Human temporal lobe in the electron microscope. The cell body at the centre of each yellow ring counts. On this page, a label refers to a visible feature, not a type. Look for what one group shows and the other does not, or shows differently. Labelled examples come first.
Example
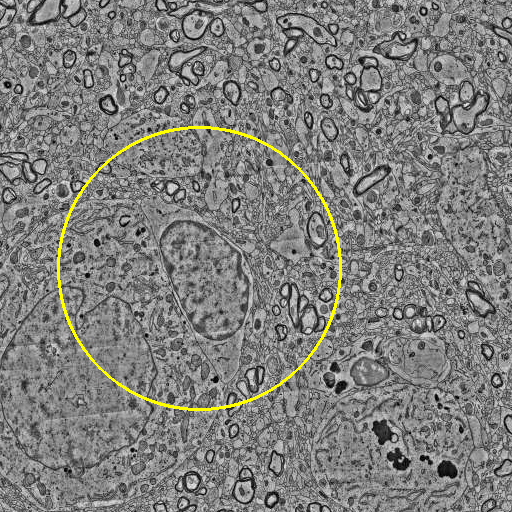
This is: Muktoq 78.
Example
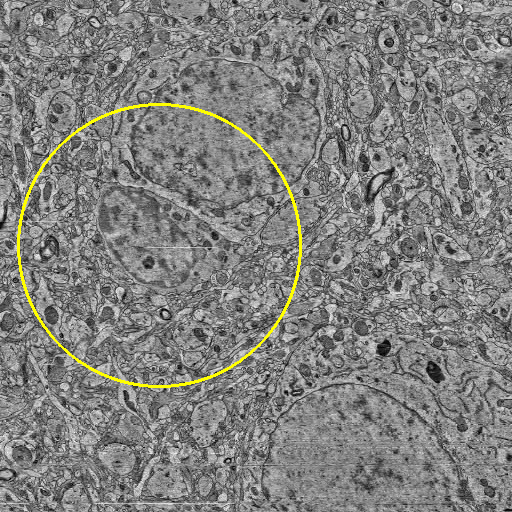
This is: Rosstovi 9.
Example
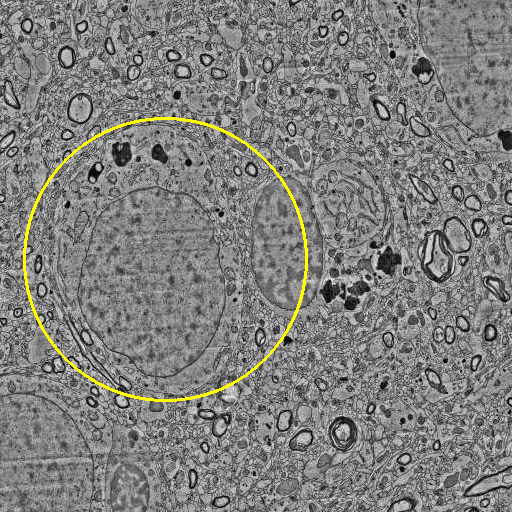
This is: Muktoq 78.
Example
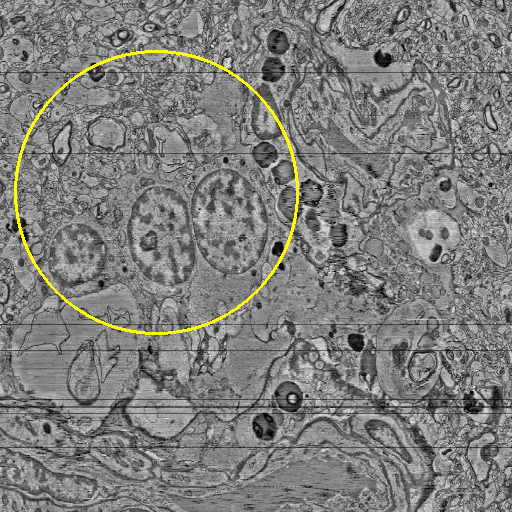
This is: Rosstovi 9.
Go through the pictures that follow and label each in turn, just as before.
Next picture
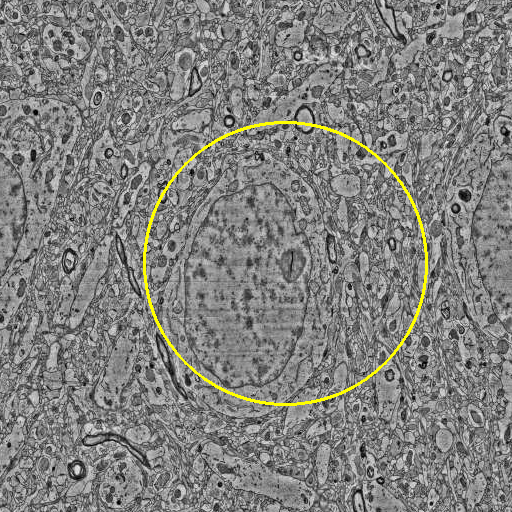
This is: Rosstovi 9.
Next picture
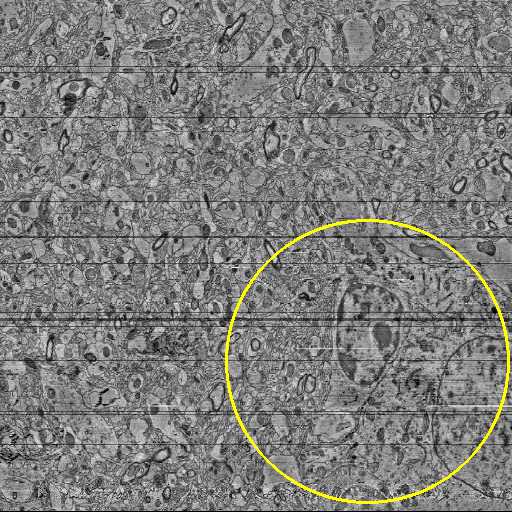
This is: Rosstovi 9.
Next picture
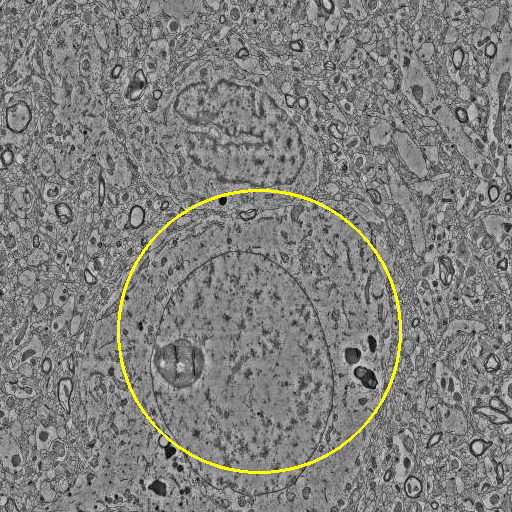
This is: Rosstovi 9.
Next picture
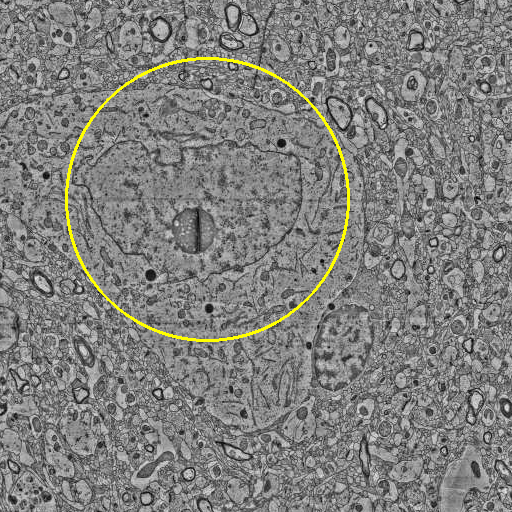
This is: Rosstovi 9.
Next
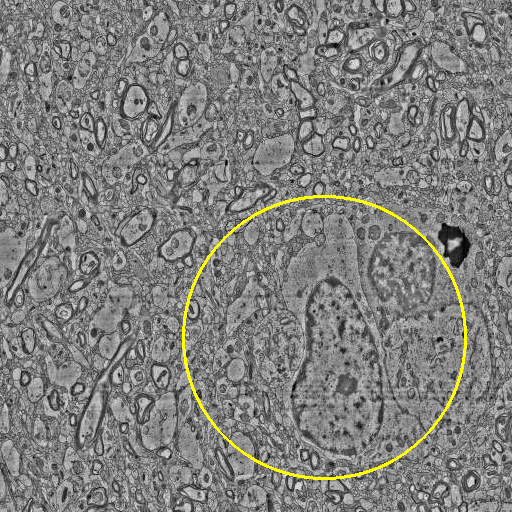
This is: Rosstovi 9.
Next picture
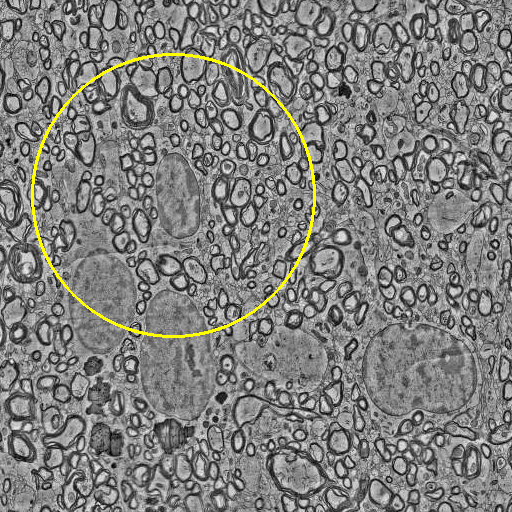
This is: Muktoq 78.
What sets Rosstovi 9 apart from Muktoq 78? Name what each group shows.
Rosstovi 9, nucleolus seen; Muktoq 78, no nucleolus seen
